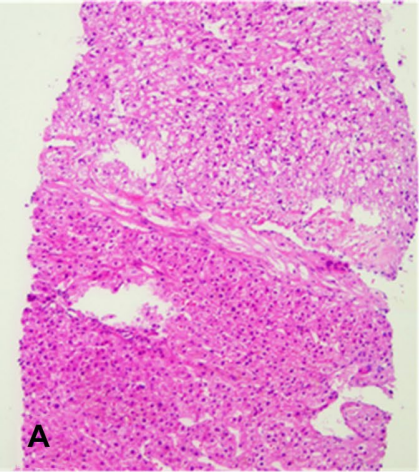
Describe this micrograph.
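This needle core holds two different tissues separated by a band of pink fibrous tissue. In the lower half the tissue is more densely pink: this is ordinary liver, with polygonal liver cells with round central nuclei lying in plates, with some open vascular spaces among them. The contrast in pallor between the two halves is the easiest thing to notice first.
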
